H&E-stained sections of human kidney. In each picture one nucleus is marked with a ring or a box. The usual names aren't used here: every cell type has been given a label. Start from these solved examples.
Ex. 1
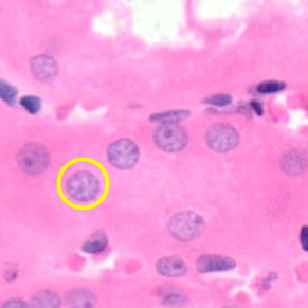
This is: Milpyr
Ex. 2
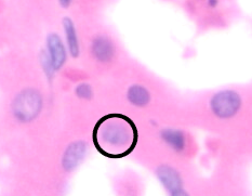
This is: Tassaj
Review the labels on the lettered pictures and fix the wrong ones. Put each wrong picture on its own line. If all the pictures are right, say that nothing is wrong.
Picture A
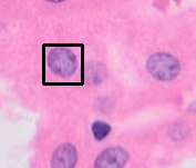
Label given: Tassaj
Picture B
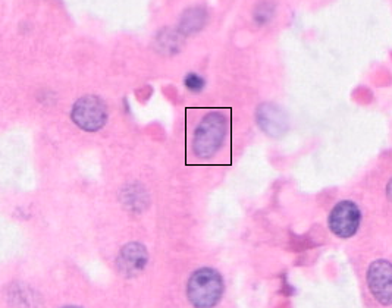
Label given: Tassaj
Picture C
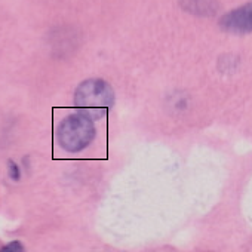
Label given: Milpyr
A should be Milpyr, not Tassaj
B should be Milpyr, not Tassaj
